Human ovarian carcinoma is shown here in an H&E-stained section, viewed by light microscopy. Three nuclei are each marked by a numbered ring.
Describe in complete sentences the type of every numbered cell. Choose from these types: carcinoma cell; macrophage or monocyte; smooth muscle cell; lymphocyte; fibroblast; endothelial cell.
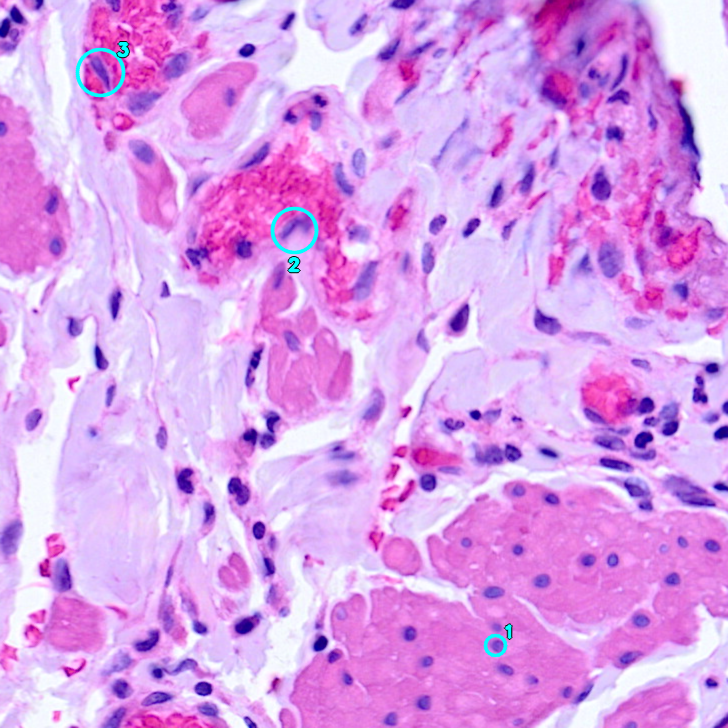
Cell 1 is a smooth muscle cell. Cells 2 and 3 are endothelial cells.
